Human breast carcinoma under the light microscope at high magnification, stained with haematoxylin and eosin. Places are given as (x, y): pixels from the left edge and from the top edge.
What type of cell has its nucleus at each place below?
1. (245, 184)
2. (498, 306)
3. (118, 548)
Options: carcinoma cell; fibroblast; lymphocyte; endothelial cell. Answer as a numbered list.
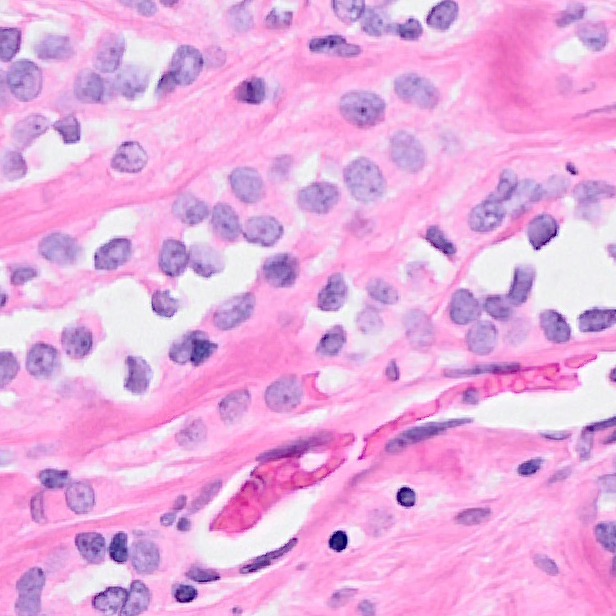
1. carcinoma cell
2. carcinoma cell
3. lymphocyte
